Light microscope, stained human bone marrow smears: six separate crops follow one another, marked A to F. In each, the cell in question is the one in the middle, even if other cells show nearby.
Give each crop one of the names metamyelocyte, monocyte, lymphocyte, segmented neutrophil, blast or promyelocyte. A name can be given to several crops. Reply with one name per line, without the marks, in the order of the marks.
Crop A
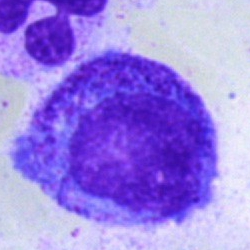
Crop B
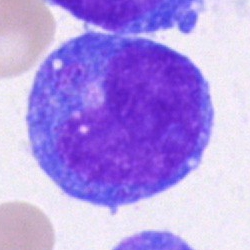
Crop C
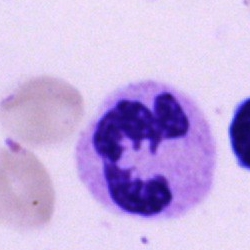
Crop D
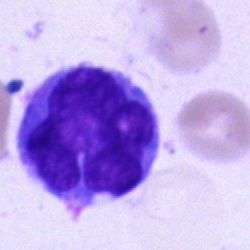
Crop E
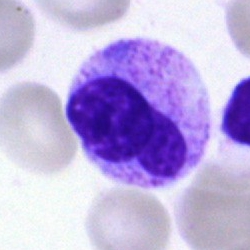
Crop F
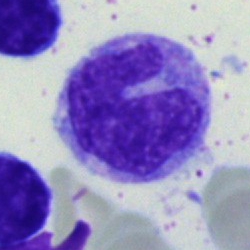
promyelocyte
promyelocyte
segmented neutrophil
monocyte
metamyelocyte
monocyte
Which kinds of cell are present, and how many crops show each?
promyelocyte: 2
monocyte: 2
segmented neutrophil: 1
metamyelocyte: 1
